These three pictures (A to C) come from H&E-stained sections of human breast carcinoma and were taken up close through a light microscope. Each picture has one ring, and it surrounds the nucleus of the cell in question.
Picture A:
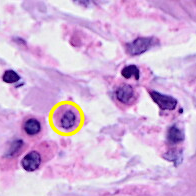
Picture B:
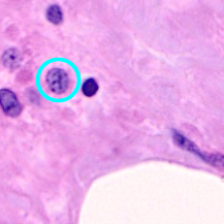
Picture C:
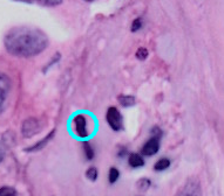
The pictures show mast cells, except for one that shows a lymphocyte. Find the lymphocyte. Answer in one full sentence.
The picture with the lymphocyte is C.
